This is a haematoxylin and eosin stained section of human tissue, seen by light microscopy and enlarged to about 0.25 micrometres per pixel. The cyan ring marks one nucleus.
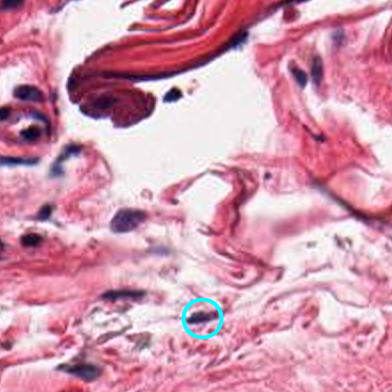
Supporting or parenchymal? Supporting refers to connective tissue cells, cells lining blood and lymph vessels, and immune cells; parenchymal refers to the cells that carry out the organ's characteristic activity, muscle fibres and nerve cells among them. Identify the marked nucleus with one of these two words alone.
supporting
